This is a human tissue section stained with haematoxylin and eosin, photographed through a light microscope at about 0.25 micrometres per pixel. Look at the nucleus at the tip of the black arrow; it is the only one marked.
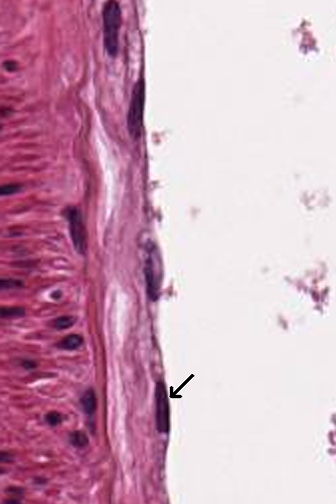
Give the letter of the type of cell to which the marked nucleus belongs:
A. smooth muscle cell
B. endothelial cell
B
